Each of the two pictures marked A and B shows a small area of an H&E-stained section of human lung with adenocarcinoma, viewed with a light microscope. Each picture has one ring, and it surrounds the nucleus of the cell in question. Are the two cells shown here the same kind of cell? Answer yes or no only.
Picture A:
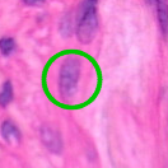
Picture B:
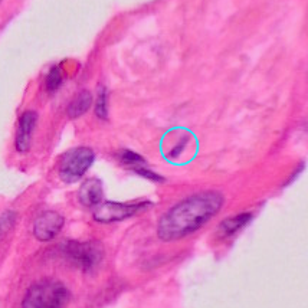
no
